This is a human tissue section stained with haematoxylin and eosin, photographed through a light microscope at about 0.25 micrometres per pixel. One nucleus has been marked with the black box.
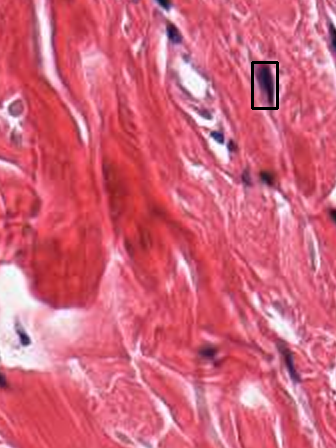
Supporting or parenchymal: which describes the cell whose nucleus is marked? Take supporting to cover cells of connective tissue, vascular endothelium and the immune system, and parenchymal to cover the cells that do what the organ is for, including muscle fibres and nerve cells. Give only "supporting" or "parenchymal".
supporting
